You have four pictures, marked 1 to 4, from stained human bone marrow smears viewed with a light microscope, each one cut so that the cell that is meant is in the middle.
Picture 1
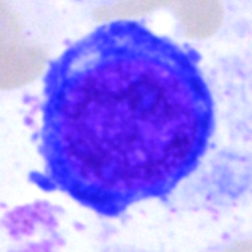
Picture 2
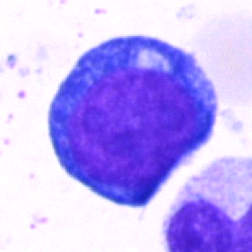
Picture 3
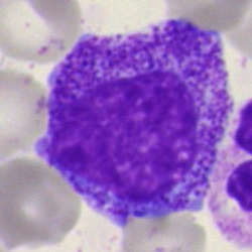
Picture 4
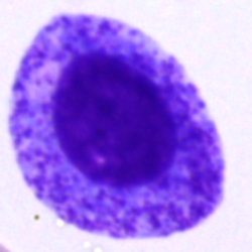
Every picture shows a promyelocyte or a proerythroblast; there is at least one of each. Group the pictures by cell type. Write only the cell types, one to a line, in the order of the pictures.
proerythroblast
proerythroblast
promyelocyte
promyelocyte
